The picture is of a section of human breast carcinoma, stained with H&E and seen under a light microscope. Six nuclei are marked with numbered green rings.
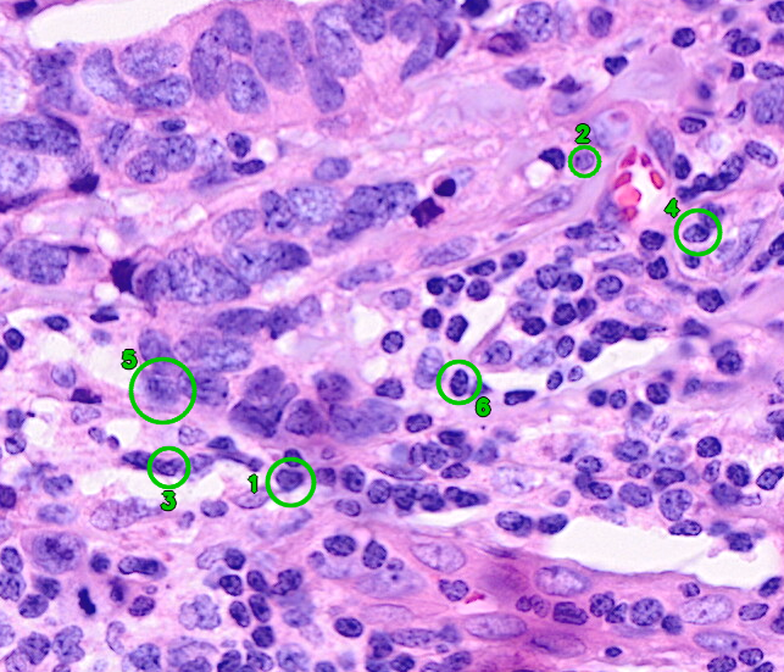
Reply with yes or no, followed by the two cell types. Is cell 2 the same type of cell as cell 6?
No, cell 2 is typed as a mast cell, and cell 6 is typed as a lymphocyte.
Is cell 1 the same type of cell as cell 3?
Yes, cells 1 and 3 are lymphocytes, the two of them alike.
